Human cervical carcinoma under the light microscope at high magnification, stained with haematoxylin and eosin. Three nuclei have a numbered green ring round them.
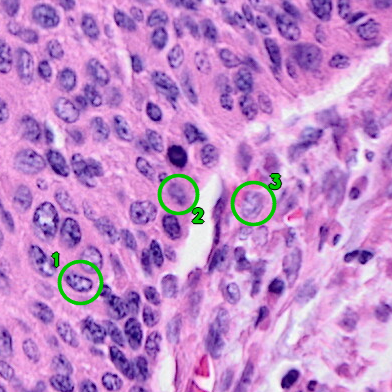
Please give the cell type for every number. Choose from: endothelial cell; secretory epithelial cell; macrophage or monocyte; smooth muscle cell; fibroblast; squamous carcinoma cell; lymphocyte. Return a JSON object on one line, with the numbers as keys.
{"1": "squamous carcinoma cell", "2": "squamous carcinoma cell", "3": "endothelial cell"}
